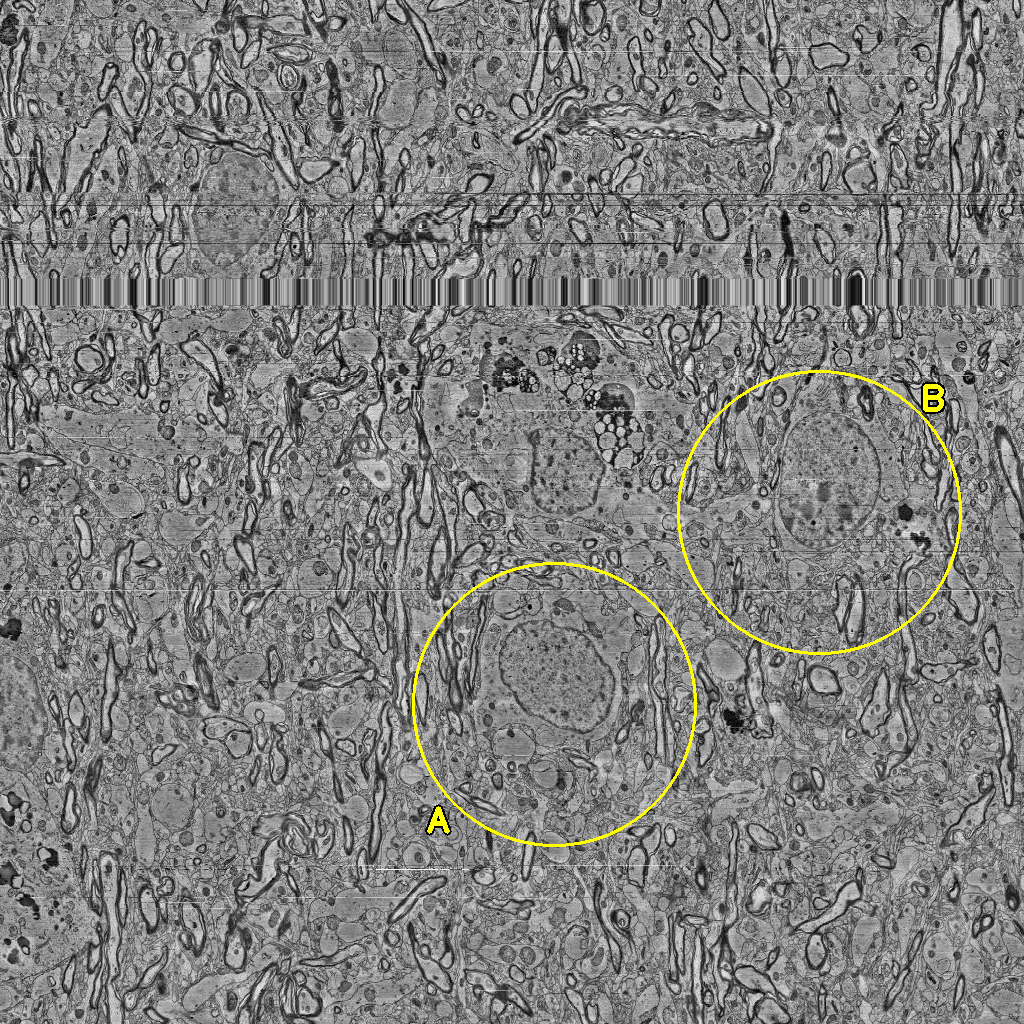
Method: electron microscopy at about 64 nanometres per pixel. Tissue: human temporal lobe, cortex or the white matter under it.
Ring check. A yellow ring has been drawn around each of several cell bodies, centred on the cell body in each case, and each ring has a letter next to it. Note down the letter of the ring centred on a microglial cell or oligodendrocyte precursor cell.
B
